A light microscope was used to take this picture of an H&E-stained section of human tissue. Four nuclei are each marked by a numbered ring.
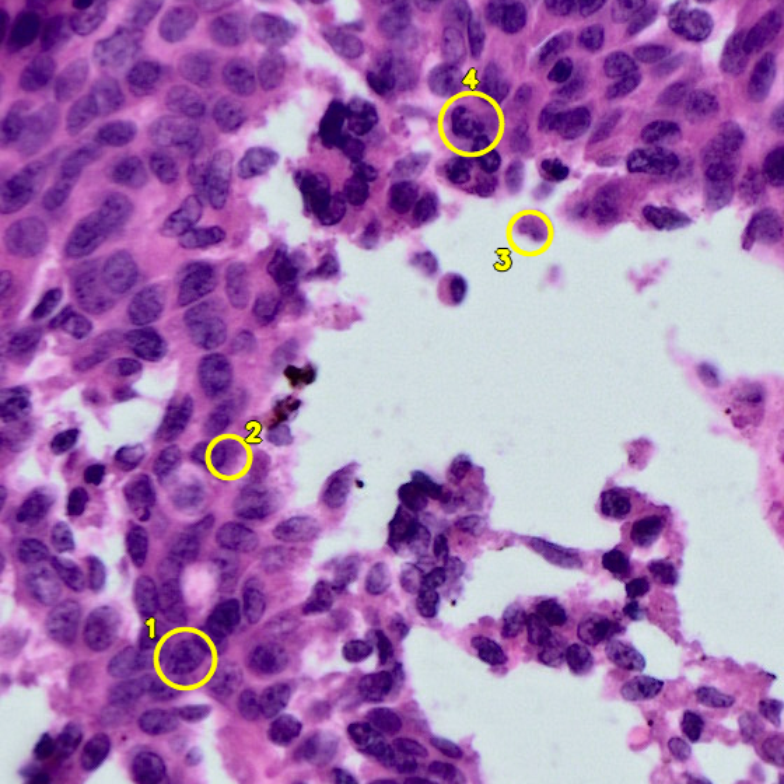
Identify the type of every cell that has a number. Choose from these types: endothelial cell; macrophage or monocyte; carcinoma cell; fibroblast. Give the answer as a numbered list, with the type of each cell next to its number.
1. carcinoma cell
2. carcinoma cell
3. macrophage or monocyte
4. carcinoma cell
